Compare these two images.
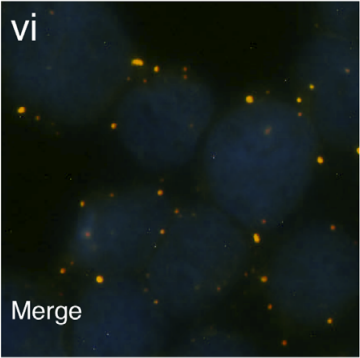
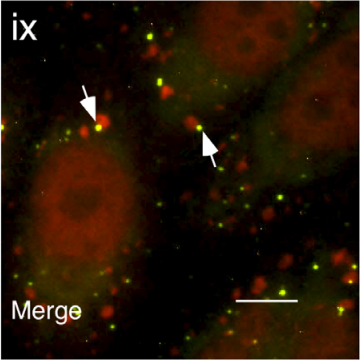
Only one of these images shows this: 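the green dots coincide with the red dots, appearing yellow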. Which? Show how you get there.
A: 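Second image: green dots and red granules remain separate colours, lying side by side. First image: the dots appear yellow-orange, with green and red overlapping.
Conclusion: the first image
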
